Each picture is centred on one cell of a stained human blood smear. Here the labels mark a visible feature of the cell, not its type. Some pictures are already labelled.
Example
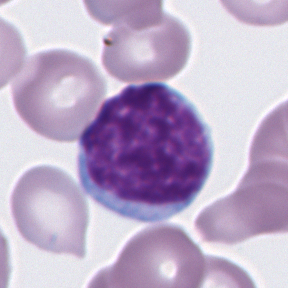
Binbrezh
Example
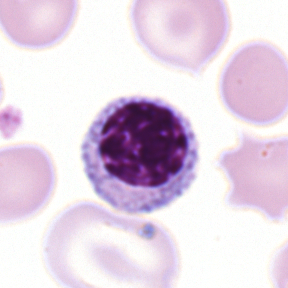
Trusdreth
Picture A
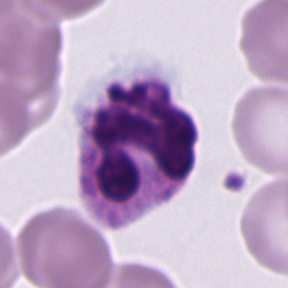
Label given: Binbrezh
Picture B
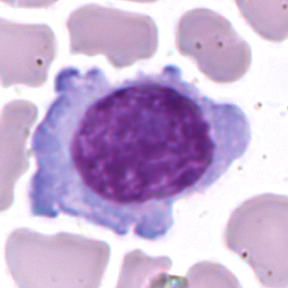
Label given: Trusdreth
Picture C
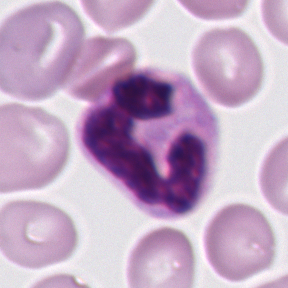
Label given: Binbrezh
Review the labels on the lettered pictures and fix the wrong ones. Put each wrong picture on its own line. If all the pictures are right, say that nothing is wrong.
A should be Trusdreth, not Binbrezh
